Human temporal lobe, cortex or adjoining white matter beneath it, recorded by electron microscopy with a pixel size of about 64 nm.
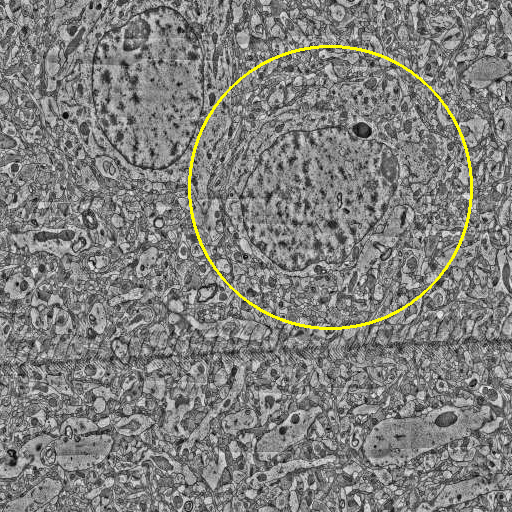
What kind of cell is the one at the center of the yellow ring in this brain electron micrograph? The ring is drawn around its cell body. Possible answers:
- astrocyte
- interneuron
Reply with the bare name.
interneuron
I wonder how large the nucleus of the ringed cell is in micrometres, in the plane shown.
The nucleus appears roughly 10 by 9 micrometres in this plane.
